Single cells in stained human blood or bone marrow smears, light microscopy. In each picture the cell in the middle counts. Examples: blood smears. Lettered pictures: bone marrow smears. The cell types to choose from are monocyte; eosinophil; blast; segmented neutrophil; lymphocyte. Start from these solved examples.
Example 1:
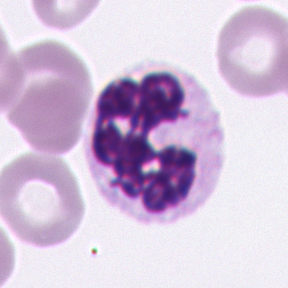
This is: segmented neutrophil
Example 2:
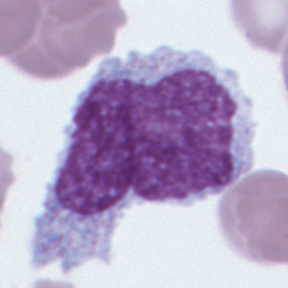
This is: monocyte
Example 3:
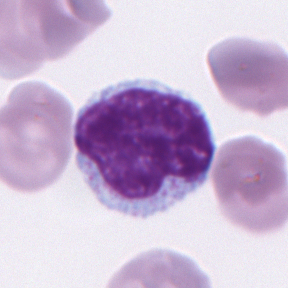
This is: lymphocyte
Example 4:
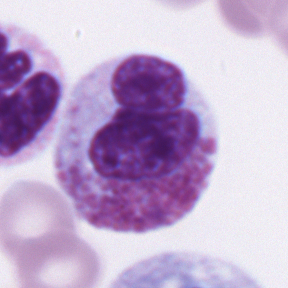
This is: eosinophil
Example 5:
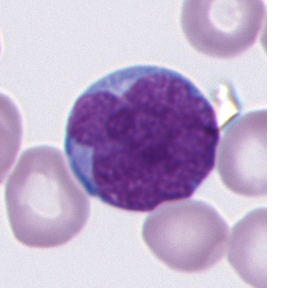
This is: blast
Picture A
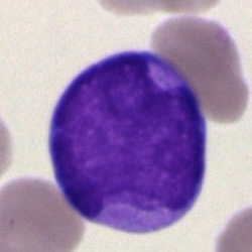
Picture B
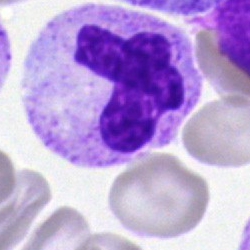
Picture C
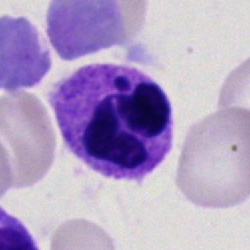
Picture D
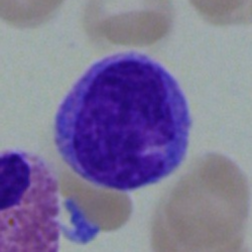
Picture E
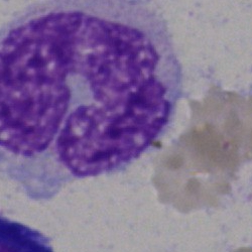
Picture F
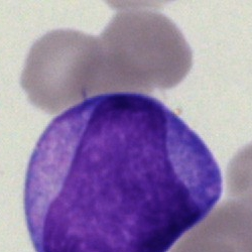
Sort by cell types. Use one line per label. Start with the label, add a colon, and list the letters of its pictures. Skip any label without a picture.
monocyte: D, E
blast: A, F
segmented neutrophil: B, C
